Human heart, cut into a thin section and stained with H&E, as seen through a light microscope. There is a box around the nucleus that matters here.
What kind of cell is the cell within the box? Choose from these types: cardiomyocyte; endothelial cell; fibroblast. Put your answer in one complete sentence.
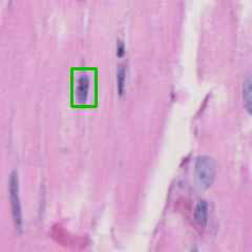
The cell meant here is an endothelial cell.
